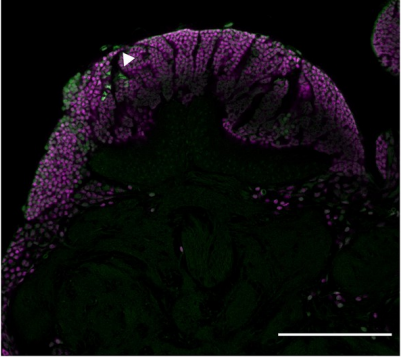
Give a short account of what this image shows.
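This is the mushroom body of an insect brain, where a dome of small, densely packed Kenyon cell bodies caps the calyx neuropil. The nuclei are small, round and crowded together, shown in magenta, with a paler green overlay across the whole cap. Dark radial clefts run inward through the cell layer toward the calyx. Below the cap lies a cup-shaped region nearly free of nuclei, the calyx, and further down the fibrous neuropil of the brain. The white arrowhead near the upper left edge of the cap points to a cell with brighter green nuclear labelling than its neighbours.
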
